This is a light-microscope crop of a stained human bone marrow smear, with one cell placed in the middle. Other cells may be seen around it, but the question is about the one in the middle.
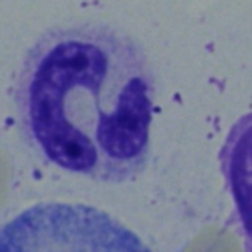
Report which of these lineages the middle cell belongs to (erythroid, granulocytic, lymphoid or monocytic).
granulocytic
